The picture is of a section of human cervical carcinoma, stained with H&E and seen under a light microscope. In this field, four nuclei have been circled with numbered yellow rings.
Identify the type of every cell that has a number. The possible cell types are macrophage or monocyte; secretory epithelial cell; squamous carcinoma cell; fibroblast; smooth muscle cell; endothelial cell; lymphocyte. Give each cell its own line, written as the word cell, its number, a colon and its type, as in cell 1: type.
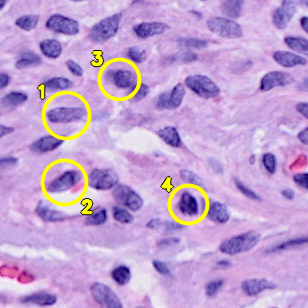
cell 1: fibroblast
cell 2: endothelial cell
cell 3: fibroblast
cell 4: lymphocyte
